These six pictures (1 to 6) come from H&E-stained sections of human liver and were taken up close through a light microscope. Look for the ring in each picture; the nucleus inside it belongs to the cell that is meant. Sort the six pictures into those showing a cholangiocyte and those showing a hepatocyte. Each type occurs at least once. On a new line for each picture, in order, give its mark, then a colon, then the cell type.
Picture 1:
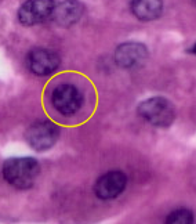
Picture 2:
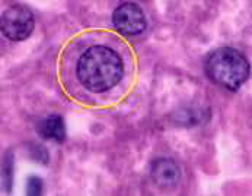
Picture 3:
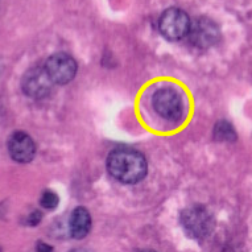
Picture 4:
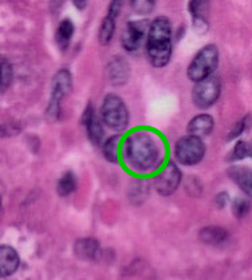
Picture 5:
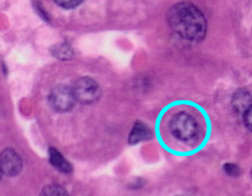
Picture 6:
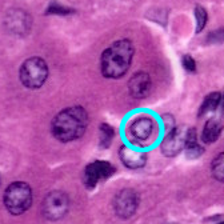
1: hepatocyte
2: hepatocyte
3: hepatocyte
4: cholangiocyte
5: hepatocyte
6: cholangiocyte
